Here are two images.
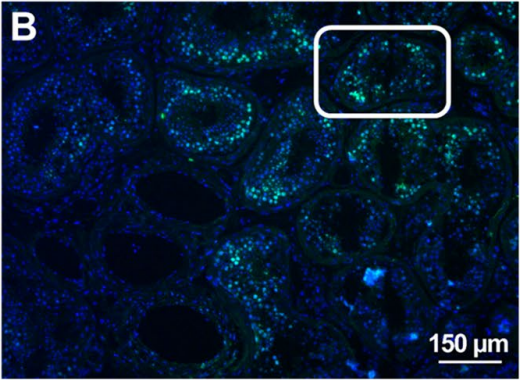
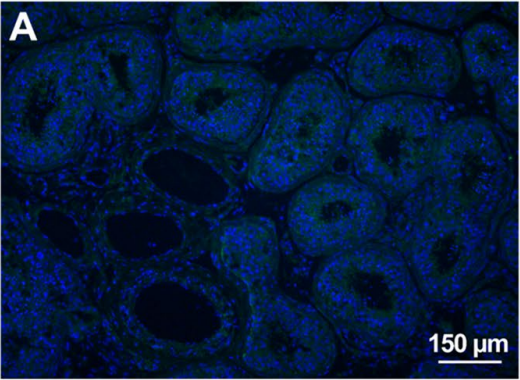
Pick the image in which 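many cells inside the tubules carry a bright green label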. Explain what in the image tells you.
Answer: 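The first image. First image: clusters of bright green cells sit in the walls of many tubules. Second image: tubules show only blue nuclei with faint diffuse background and no bright green cells.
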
